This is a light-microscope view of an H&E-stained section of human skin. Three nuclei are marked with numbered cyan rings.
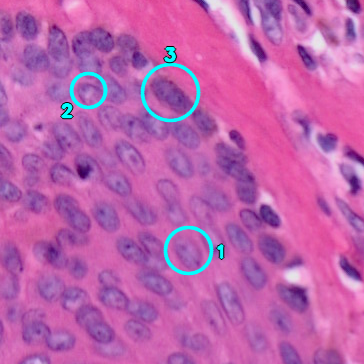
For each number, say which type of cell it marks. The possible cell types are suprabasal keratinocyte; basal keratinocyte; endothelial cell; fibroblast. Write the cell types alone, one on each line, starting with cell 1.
suprabasal keratinocyte
suprabasal keratinocyte
basal keratinocyte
